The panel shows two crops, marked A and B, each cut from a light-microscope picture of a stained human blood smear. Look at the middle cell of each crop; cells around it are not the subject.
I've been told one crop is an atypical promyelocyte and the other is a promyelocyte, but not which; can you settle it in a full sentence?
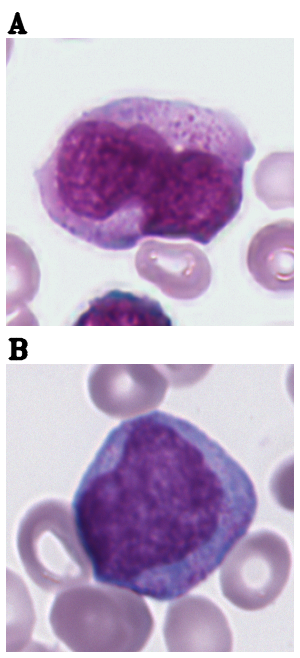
In crop A there is an atypical promyelocyte, and in crop B there is a promyelocyte.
